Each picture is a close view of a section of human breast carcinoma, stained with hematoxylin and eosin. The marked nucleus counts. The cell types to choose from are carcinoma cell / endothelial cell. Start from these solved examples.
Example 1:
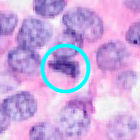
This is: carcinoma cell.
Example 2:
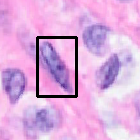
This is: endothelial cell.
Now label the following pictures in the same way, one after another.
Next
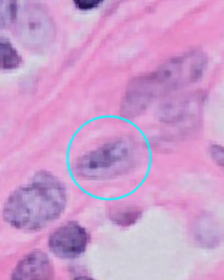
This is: endothelial cell.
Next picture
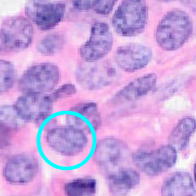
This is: carcinoma cell.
